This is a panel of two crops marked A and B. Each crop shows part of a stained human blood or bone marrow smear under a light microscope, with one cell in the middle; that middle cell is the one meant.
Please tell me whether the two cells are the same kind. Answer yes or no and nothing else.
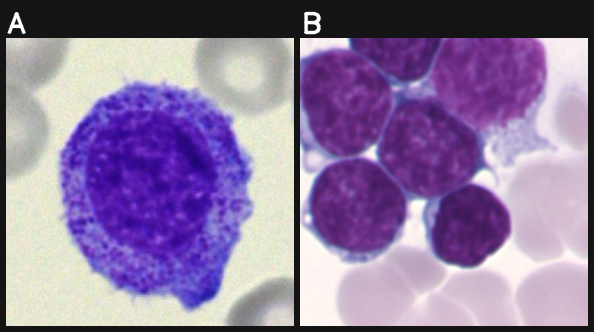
no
